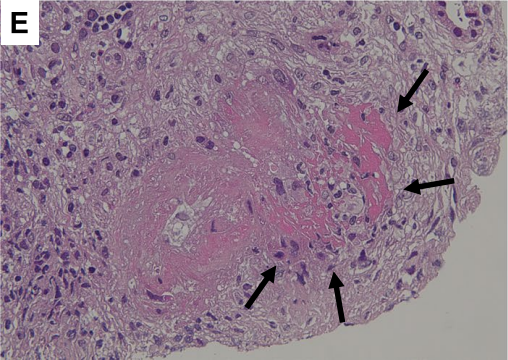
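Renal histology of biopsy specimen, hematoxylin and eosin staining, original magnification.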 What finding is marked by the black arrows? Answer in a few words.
Fibrinoid necrosis.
